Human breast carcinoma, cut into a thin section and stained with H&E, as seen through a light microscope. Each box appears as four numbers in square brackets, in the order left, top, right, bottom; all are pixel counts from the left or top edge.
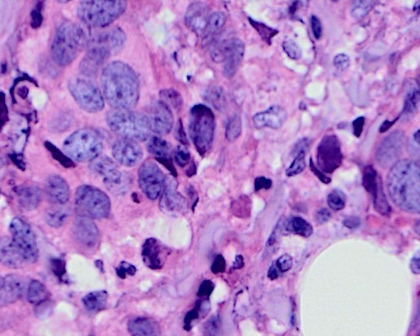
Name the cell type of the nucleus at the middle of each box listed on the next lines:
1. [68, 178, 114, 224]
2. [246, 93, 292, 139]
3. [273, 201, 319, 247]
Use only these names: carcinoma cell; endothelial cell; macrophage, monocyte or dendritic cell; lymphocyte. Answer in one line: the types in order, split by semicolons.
carcinoma cell; macrophage, monocyte or dendritic cell; lymphocyte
